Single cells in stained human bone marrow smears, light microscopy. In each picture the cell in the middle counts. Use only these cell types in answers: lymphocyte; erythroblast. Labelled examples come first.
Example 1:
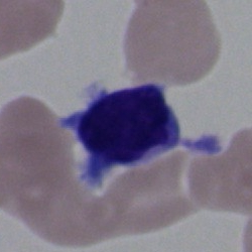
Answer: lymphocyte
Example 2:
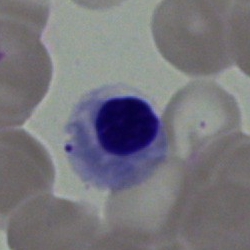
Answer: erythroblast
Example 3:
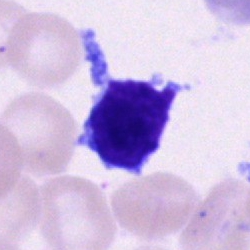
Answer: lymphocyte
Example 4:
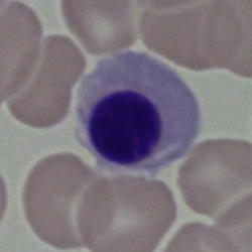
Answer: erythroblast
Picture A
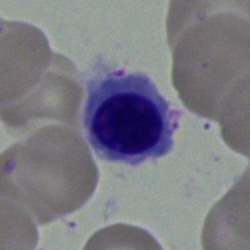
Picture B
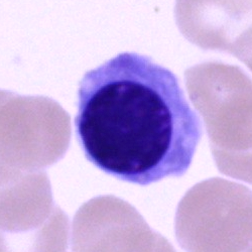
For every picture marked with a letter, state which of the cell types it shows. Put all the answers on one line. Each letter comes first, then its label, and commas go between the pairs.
A erythroblast, B erythroblast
